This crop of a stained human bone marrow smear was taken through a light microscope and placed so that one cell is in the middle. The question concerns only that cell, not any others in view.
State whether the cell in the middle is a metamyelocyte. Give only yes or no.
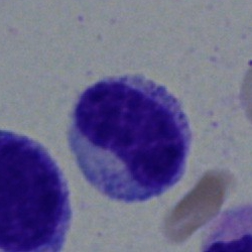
yes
